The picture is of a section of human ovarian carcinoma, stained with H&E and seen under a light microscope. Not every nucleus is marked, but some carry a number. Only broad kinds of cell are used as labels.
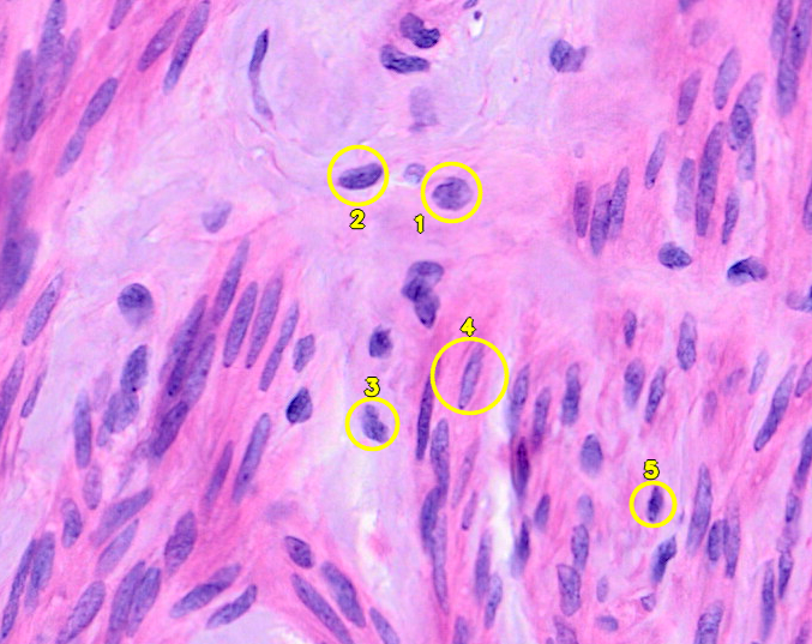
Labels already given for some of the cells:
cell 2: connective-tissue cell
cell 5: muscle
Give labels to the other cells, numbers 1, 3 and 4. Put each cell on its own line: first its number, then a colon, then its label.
1: connective-tissue cell
3: connective-tissue cell
4: muscle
